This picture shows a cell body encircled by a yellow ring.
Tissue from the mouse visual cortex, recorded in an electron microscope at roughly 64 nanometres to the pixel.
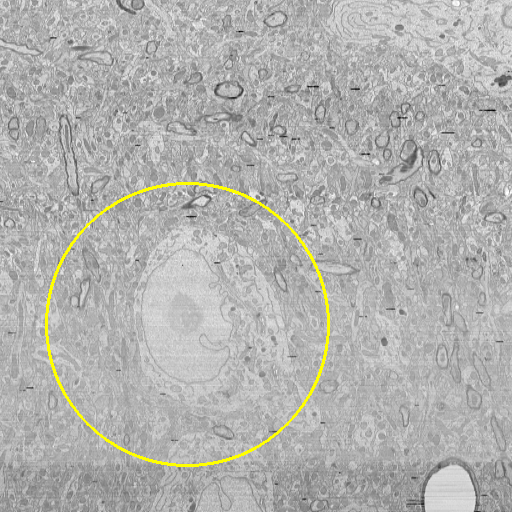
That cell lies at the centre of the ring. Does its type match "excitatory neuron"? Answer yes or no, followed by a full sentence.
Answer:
No, in the picture, the ring surrounds a cell of another type at its centre.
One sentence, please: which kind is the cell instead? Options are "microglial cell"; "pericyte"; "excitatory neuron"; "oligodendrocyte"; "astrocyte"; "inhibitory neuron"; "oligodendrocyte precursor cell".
The cell circled by the yellow ring is an inhibitory neuron.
